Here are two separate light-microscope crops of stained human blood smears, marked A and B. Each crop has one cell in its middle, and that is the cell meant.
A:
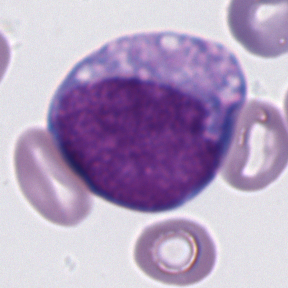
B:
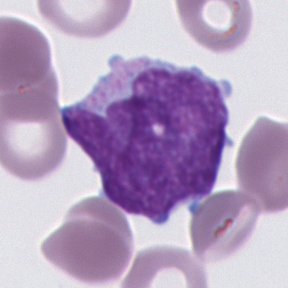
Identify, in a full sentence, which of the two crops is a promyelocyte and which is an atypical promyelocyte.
Crop A has been identified as a promyelocyte, and crop B has been identified as an atypical promyelocyte.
